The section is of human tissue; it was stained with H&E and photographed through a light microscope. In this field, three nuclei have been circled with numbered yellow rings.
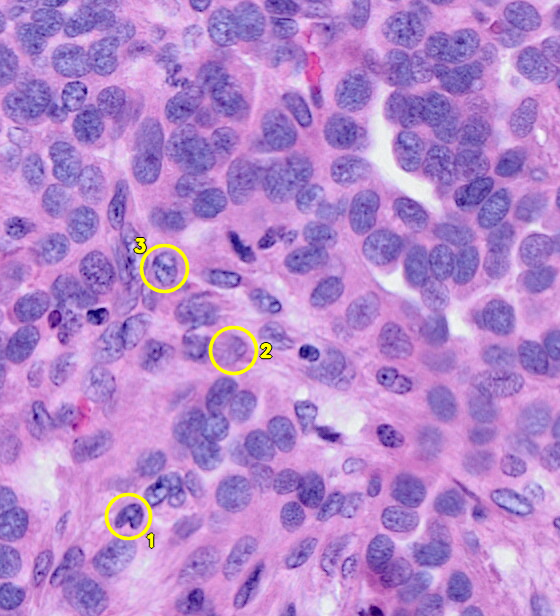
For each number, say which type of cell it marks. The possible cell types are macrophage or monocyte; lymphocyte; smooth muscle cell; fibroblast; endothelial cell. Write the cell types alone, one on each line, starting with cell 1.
macrophage or monocyte
fibroblast
fibroblast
